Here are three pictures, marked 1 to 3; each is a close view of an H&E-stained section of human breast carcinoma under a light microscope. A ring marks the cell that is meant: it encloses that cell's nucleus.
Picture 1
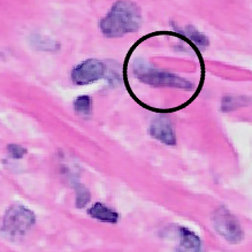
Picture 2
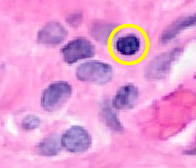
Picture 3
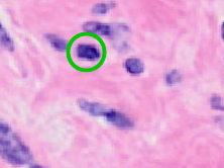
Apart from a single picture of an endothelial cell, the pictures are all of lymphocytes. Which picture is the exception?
1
